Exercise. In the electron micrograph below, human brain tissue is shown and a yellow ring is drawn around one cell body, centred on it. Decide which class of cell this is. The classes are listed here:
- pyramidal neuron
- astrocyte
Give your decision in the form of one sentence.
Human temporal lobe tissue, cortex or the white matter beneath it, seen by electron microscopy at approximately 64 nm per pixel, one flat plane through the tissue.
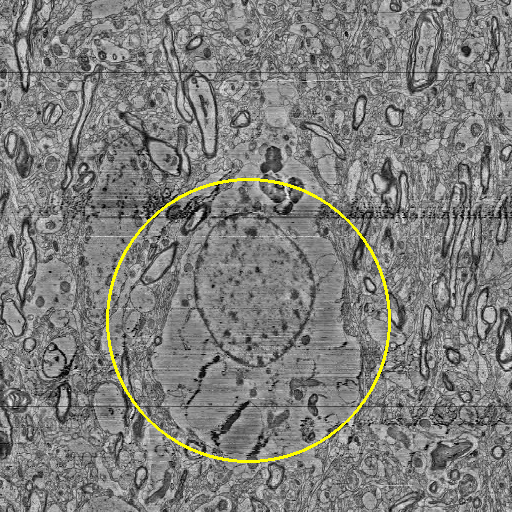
The cell body marked by the ring belongs to an astrocyte.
